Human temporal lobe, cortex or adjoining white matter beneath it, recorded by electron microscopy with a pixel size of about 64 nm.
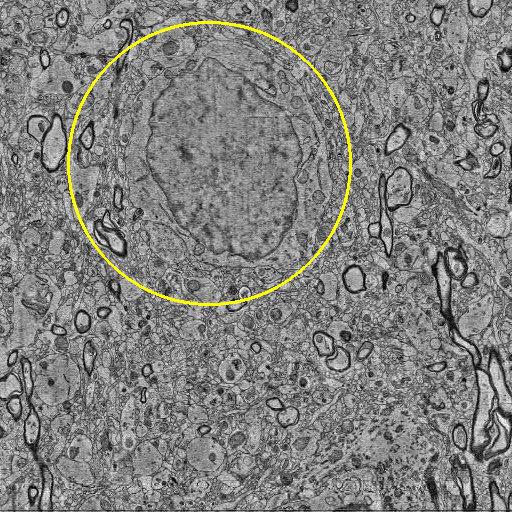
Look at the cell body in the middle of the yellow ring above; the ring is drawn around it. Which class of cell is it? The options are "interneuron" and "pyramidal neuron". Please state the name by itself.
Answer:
interneuron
